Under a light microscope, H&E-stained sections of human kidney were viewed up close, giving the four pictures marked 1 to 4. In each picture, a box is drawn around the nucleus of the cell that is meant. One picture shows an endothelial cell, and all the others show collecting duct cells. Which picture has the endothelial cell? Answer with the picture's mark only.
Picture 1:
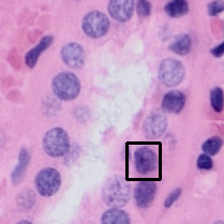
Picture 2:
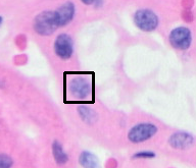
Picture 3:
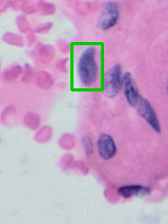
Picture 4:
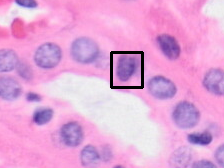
3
